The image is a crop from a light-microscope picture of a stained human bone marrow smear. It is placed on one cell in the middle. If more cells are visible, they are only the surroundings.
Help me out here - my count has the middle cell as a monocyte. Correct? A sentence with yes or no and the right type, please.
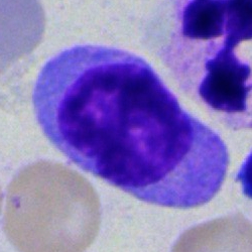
Yes, the central cell of this crop corresponds to a monocyte.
